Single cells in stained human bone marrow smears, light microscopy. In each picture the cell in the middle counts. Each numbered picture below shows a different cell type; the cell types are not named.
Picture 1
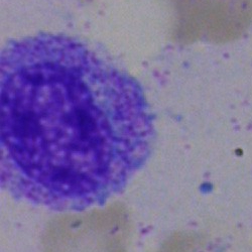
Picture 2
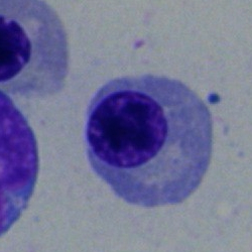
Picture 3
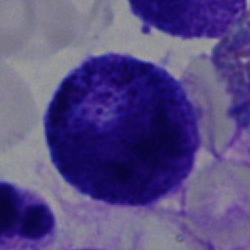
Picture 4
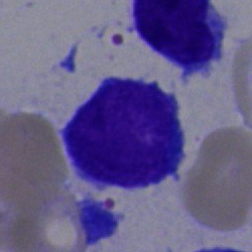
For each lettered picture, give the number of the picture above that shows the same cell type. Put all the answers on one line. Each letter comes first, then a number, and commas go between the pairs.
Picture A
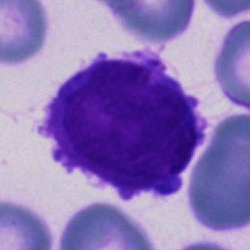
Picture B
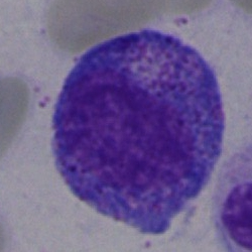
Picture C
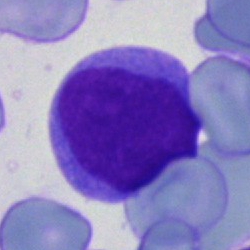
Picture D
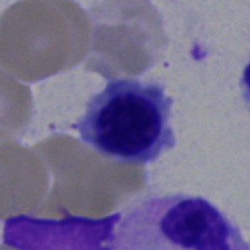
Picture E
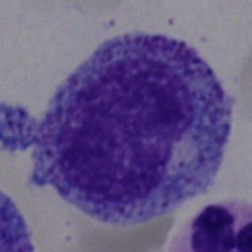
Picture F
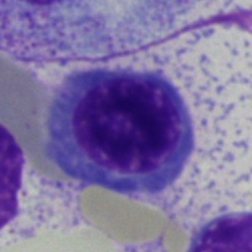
A 4, B 3, C 4, D 2, E 3, F 2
